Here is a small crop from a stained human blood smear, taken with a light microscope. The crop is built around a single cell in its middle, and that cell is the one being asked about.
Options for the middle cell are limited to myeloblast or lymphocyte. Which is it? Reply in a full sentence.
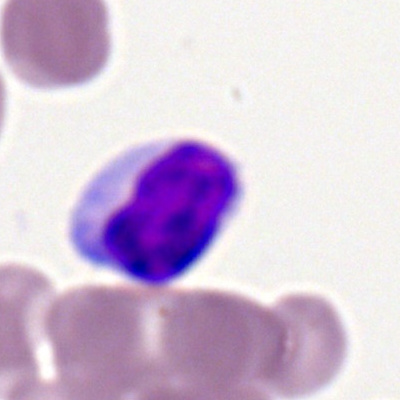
At the crop's centre, the cell is a lymphocyte.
